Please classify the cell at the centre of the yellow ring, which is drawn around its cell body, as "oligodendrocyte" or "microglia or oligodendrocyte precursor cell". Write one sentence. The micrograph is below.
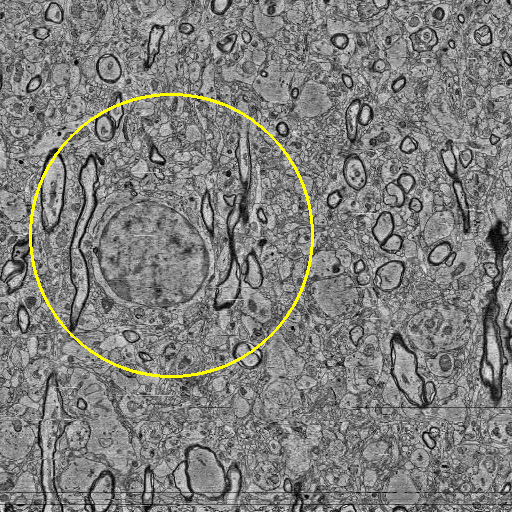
The cell at the ring's centre is classified as a microglial cell or oligodendrocyte precursor cell.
